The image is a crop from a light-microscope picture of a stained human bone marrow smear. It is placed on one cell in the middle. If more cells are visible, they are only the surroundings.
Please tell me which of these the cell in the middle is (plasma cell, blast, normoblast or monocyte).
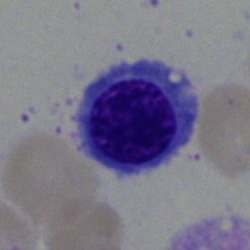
normoblast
